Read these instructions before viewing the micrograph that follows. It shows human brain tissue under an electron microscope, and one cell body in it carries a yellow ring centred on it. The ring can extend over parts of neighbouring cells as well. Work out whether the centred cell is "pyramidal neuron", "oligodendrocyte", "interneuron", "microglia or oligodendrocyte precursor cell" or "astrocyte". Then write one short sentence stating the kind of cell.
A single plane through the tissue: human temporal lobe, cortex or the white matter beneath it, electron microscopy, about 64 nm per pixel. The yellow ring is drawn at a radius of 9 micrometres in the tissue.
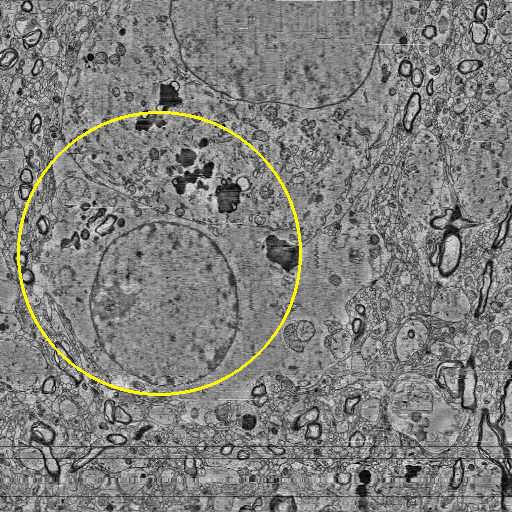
The ringed cell is an astrocyte.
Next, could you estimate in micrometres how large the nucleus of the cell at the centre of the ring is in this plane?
The nucleus measures about 11 by 9 micrometres in this plane.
